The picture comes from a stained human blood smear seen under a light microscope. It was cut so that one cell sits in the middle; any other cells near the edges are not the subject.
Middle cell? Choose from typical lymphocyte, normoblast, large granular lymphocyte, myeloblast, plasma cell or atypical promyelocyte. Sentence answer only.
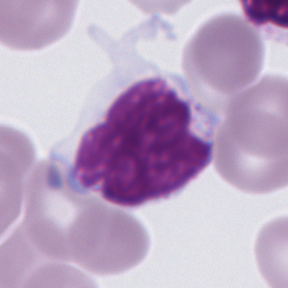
Here the cell in the middle is a large granular lymphocyte.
